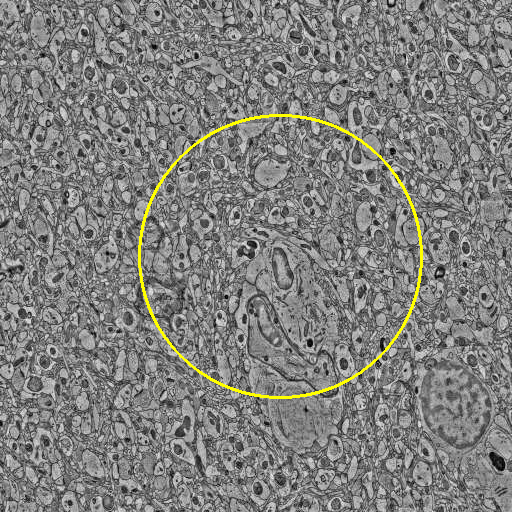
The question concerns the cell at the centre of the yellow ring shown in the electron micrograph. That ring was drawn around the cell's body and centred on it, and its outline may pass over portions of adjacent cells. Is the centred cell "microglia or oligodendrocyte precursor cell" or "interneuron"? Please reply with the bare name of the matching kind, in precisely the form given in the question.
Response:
microglia or oligodendrocyte precursor cell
